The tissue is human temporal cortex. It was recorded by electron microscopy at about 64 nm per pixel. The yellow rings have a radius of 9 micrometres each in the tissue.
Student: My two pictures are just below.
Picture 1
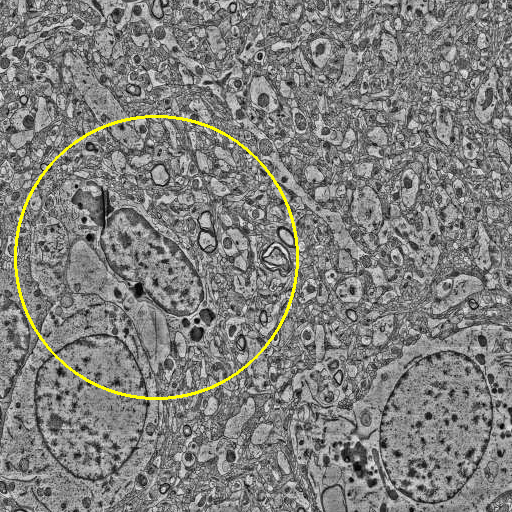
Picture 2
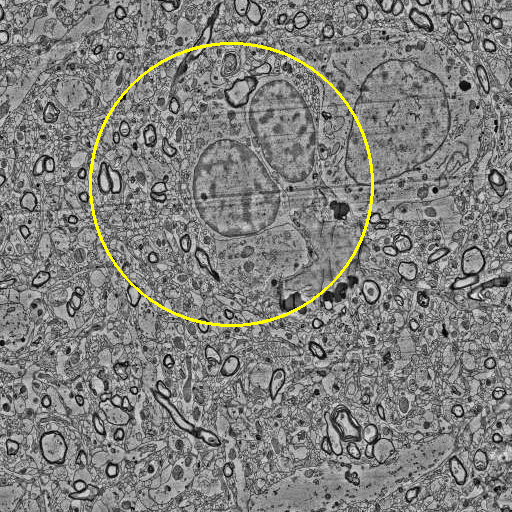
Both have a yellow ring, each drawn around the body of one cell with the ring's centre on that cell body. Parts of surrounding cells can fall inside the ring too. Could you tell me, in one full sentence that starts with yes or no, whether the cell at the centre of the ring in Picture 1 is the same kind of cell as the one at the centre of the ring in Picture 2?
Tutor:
No, the two cells are of two kinds.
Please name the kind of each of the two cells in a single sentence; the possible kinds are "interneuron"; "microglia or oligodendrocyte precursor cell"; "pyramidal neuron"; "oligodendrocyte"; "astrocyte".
In the first picture the ring is centred on a microglial cell or oligodendrocyte precursor cell, and in the second on an oligodendrocyte.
